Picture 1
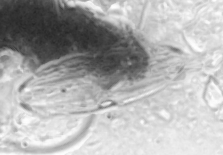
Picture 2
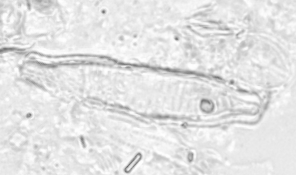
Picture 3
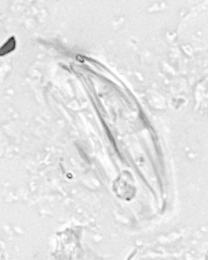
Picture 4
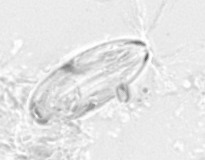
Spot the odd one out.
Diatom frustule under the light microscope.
Picture 2 (Fragilaria among Halamphora).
